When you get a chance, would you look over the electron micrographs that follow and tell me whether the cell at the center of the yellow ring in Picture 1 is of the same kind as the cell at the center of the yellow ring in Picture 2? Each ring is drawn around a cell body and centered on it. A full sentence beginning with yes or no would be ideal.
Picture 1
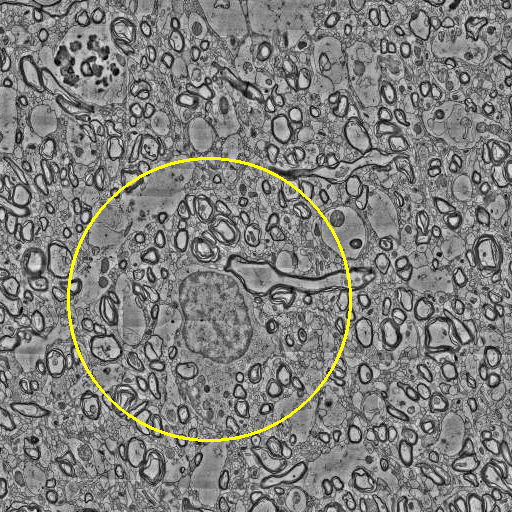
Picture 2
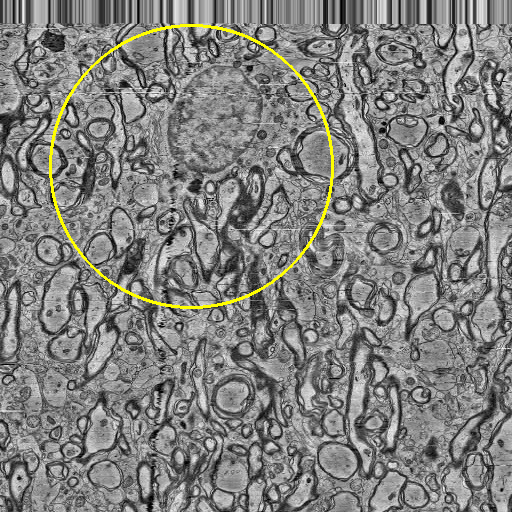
Yes, the two cells are of the same kind.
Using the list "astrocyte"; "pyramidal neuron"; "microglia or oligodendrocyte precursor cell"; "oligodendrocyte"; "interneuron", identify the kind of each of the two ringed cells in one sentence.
The first and the second cell are each an oligodendrocyte.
